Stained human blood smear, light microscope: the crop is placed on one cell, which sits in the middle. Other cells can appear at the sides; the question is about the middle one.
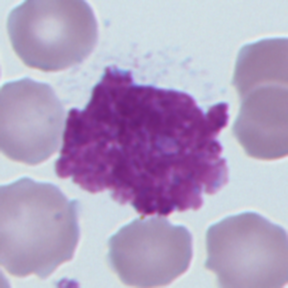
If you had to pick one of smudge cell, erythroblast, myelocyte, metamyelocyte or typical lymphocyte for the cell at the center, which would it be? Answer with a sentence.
The crop centres on a single cell, and that cell is a smudge cell.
